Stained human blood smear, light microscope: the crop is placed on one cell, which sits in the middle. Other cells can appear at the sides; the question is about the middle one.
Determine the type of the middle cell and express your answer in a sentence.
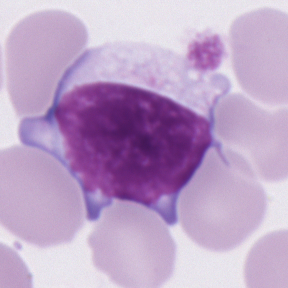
Of the cells in this crop, the central one is a large granular lymphocyte.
